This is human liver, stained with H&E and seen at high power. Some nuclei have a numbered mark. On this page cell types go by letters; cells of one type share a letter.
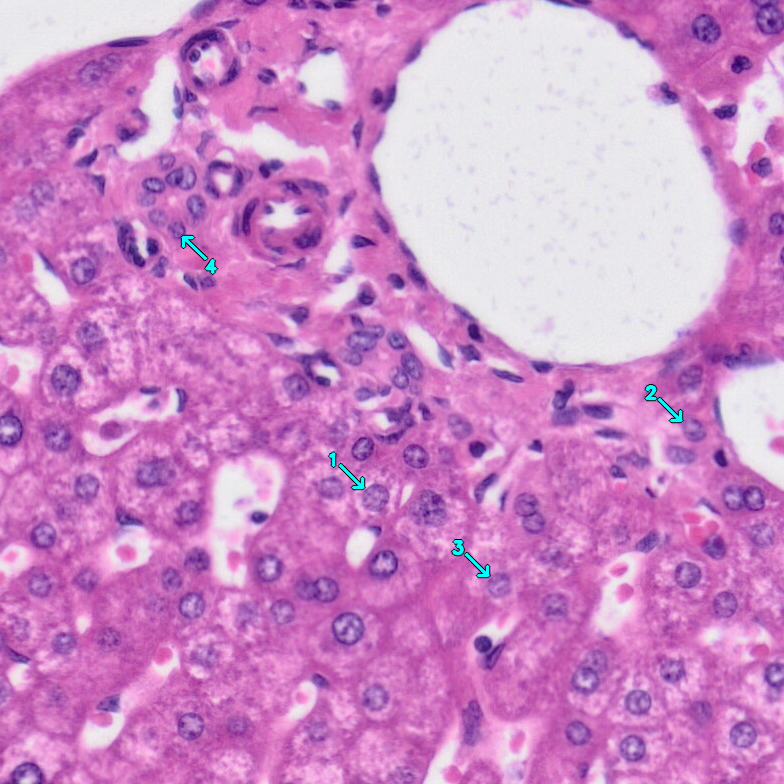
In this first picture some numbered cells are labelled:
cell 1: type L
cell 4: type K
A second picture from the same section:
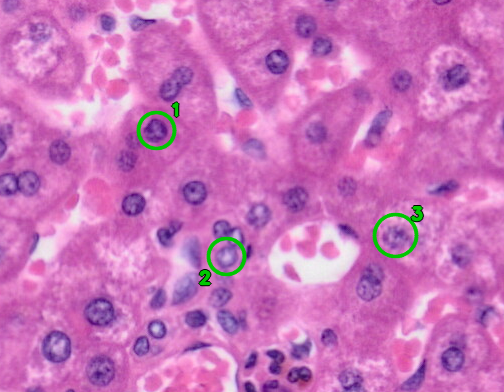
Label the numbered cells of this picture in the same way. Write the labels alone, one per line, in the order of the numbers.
type L
type K
type L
